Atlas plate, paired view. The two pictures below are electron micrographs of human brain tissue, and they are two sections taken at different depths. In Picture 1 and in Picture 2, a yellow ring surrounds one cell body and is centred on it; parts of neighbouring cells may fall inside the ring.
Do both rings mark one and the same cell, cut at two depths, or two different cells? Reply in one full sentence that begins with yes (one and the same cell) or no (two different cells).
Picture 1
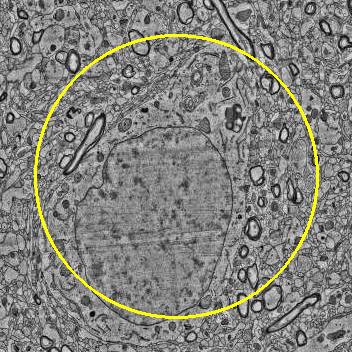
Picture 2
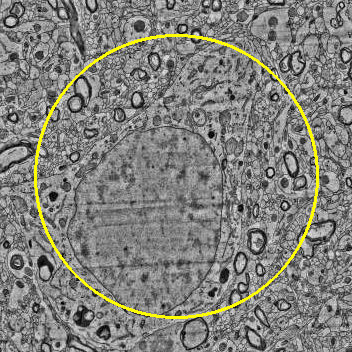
Yes, both rings identify a single, shared cell.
